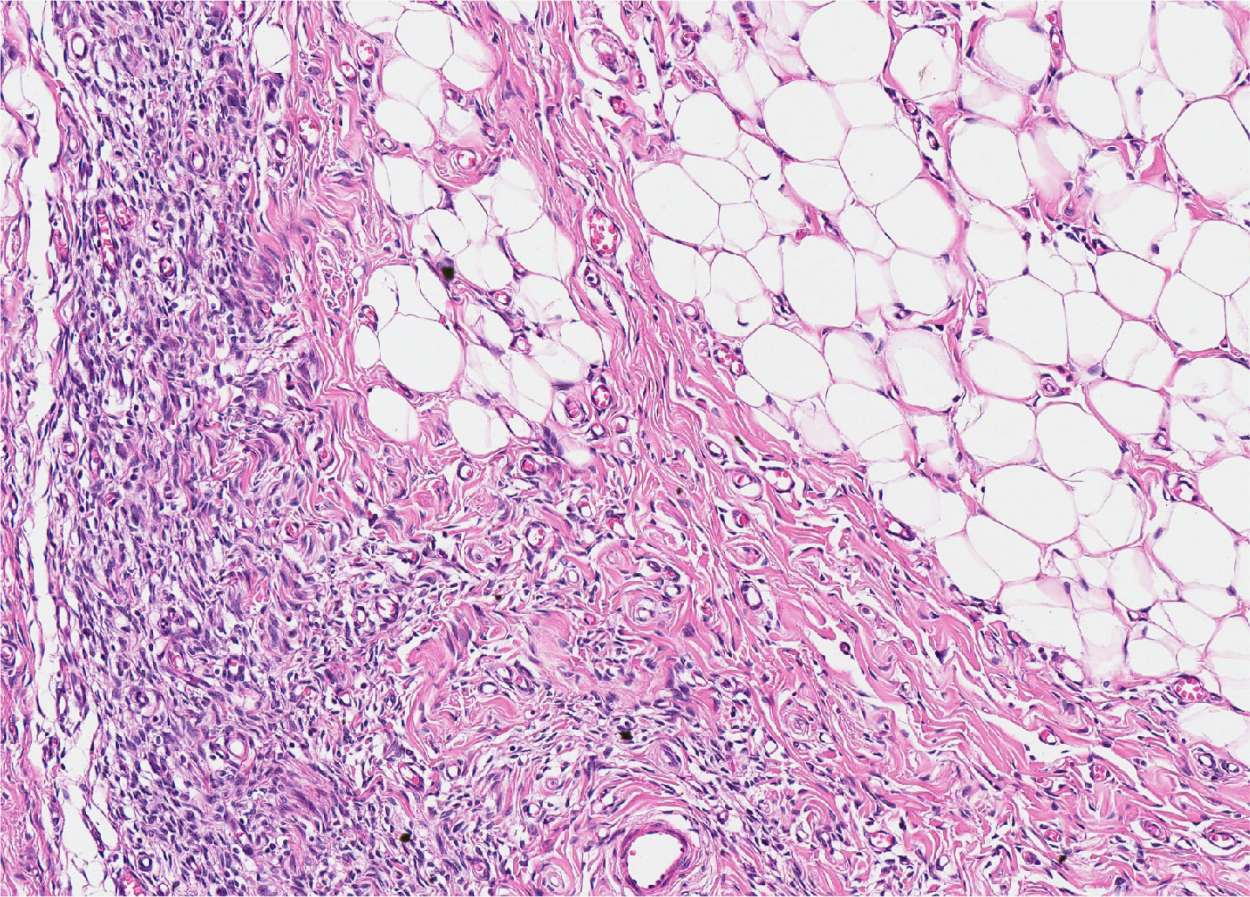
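This soft tissue shows three kinds of tissue lying side by side: immature mesenchyme, mature fibrous tissue with fibroblasts, and fat. On the left is a crowded zone of small cells with dark purple, round to spindle-shaped nuclei and little cytoplasm, set in a loose background with small blood vessels. Through the middle run wavy pink collagen bundles that carry only scattered slender nuclei, along with small vessels. In the upper right lies mature fat, made of large clear cells with thin walls and flattened nuclei pressed to the edge, with no orderly boundary between it and the other two tissues.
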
